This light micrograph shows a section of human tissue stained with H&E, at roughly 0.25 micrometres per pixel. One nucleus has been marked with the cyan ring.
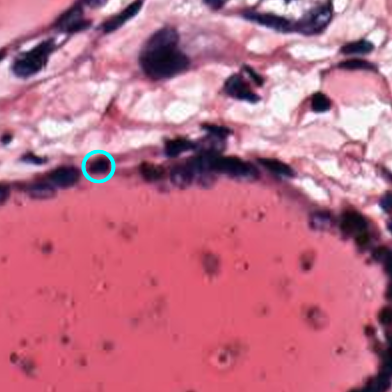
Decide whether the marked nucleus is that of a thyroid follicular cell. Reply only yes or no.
yes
